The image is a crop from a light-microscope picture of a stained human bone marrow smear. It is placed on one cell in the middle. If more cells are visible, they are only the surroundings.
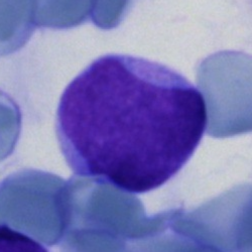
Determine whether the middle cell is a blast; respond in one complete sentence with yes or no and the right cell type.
Yes, that is right: the middle cell is a blast.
